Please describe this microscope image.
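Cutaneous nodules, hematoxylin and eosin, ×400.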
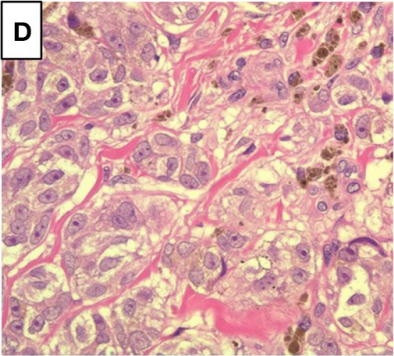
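The cells are big and polygonal, with plentiful pale, almost clear to faintly pink cytoplasm and well-defined borders. Their nuclei are large, oval to round, with open chromatin and easily seen nucleoli, and they vary in size from cell to cell. The cells sit in small nests and groups separated by thin bright pink strands of collagen. Scattered among them, coarse dark brown granules of pigment fill the cytoplasm of some cells, especially toward the right side of the field.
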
